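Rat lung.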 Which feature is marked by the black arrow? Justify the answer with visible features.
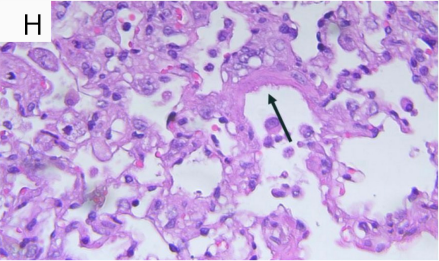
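The arrow points at a glassy pink band lining the wall of an airspace. The band is homogeneous and without nuclei. That points to this answer: hyaline membrane formation.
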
